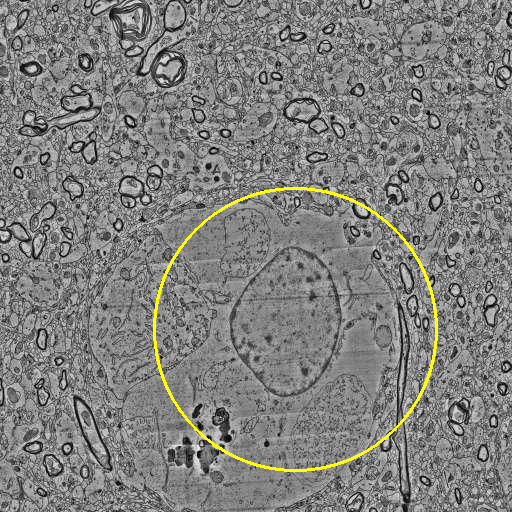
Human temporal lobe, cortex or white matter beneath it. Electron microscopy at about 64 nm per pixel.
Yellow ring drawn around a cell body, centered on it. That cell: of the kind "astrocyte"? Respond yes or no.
yes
